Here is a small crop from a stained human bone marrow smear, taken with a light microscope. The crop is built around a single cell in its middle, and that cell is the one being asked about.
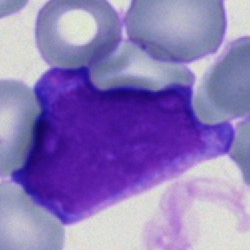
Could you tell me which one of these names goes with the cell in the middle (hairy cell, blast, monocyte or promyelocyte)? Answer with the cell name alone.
blast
